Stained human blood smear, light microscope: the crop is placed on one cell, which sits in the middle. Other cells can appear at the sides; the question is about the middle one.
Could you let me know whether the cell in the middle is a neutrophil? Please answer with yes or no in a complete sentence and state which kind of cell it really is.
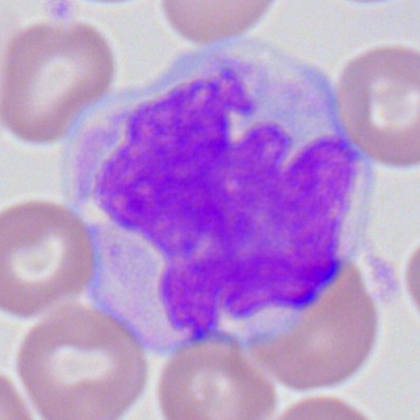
No, the middle cell is actually a monocyte rather than a neutrophil.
